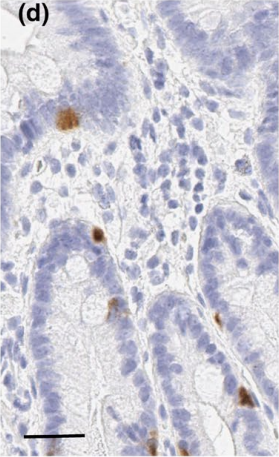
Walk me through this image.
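Pale, vacuolated goblet cells are scattered among them. Between the crypts the lamina propria holds many small round nuclei of stromal and inflammatory cells. Several single epithelial cells contain dark brown granular staining, mostly at the basal side of the epithelium, appearing as small triangular or rounded brown bodies among unstained neighbours. The staining is confined to these isolated cells.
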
